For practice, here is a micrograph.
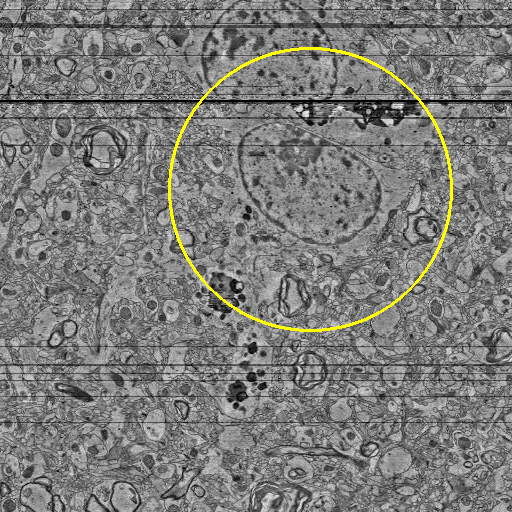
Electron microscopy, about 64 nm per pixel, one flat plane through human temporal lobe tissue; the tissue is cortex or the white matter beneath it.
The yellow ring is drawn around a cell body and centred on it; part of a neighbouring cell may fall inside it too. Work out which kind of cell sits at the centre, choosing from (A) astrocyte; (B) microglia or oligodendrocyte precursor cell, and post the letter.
A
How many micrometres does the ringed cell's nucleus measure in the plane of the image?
In this plane, the nucleus is roughly 10 by 7 micrometres.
